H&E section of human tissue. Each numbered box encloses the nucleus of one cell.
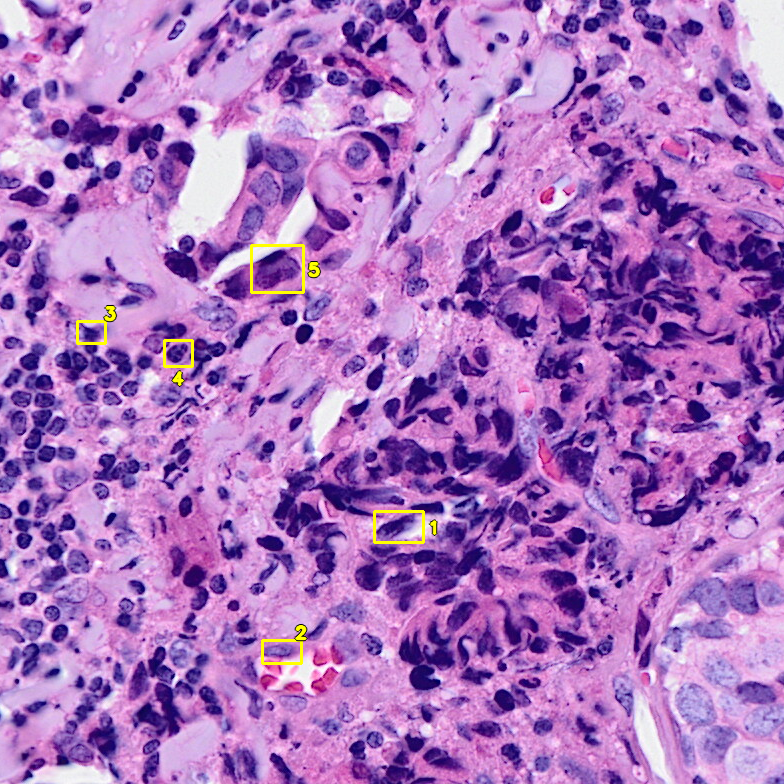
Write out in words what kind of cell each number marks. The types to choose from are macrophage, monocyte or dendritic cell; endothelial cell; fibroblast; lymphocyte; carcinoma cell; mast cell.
Cells 1 and 5 are carcinoma cells. Cell 2 is an endothelial cell. Cells 3 and 4 are lymphocytes.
